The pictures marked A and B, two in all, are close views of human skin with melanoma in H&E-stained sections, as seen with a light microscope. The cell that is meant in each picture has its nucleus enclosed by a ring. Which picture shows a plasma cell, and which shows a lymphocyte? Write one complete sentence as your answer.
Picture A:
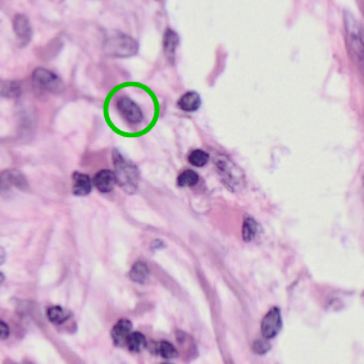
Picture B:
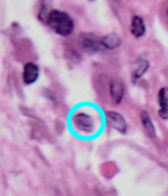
In picture A the cell is a plasma cell; in picture B, a lymphocyte.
